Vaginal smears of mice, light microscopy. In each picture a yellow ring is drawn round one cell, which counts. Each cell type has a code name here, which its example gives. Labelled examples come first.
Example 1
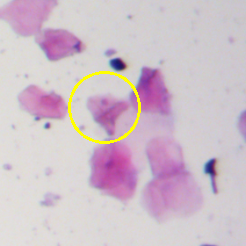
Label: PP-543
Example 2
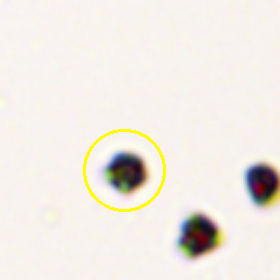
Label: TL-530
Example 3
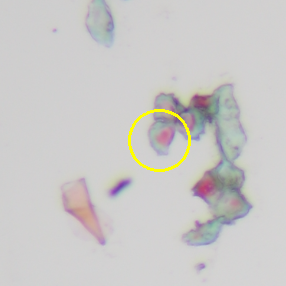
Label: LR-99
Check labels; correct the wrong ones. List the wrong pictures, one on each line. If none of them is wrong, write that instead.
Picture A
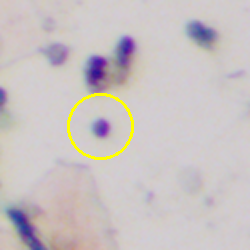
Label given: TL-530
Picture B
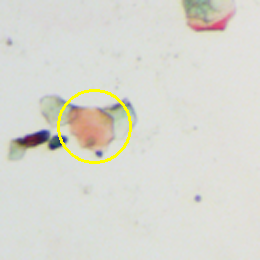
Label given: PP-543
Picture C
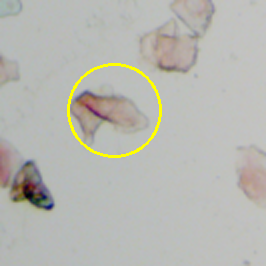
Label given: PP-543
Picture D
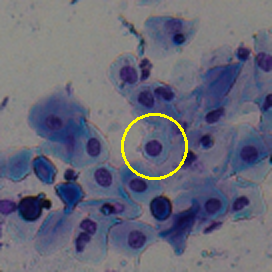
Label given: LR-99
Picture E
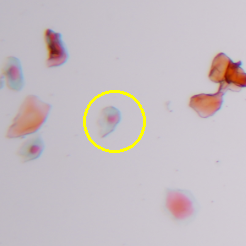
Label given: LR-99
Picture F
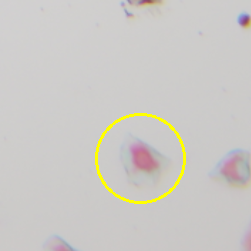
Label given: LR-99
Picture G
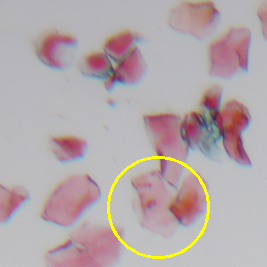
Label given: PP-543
None of the labels needs changing.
